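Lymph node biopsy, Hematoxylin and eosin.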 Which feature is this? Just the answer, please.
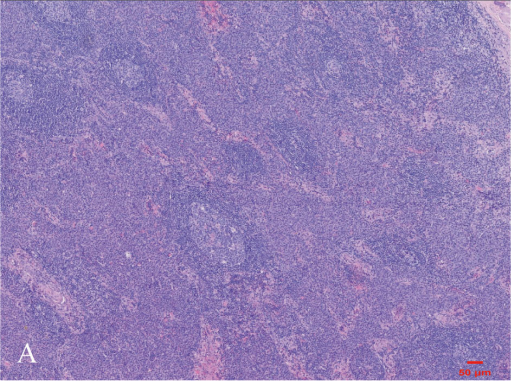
Hyperplastic and regressed follicles.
